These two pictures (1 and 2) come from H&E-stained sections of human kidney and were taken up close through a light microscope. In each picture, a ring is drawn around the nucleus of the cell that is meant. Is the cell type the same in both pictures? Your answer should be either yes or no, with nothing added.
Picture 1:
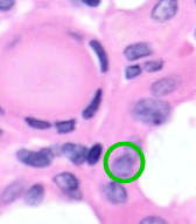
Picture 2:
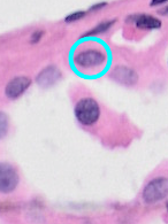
yes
